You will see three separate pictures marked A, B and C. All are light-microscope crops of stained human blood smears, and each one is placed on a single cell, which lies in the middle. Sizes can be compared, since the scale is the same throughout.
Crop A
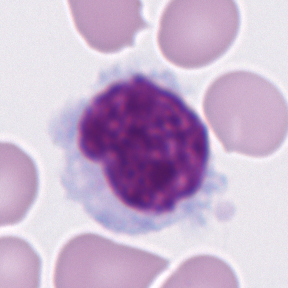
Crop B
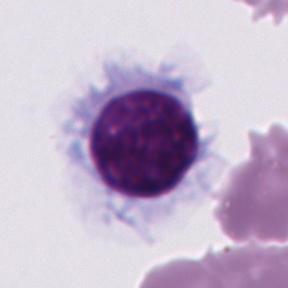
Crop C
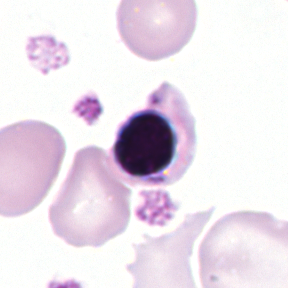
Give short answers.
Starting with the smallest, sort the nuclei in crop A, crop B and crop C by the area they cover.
C, B, A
